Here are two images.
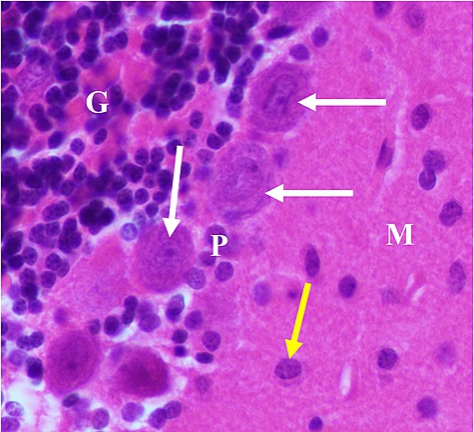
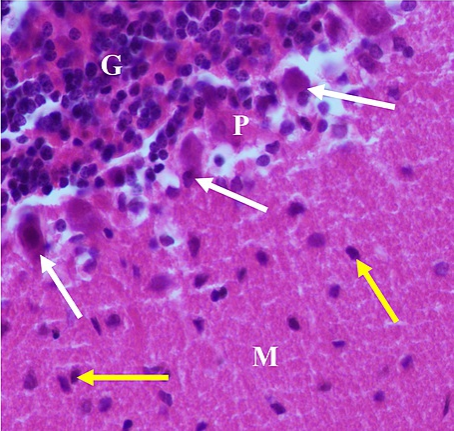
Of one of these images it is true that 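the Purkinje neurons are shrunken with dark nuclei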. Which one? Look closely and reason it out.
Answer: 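The second image. Second image: the large cells at the layer border are small, dark and surrounded by clear spaces. First image: the large cells at the layer border are big and round with ample pink-purple cytoplasm and visible nuclei.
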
